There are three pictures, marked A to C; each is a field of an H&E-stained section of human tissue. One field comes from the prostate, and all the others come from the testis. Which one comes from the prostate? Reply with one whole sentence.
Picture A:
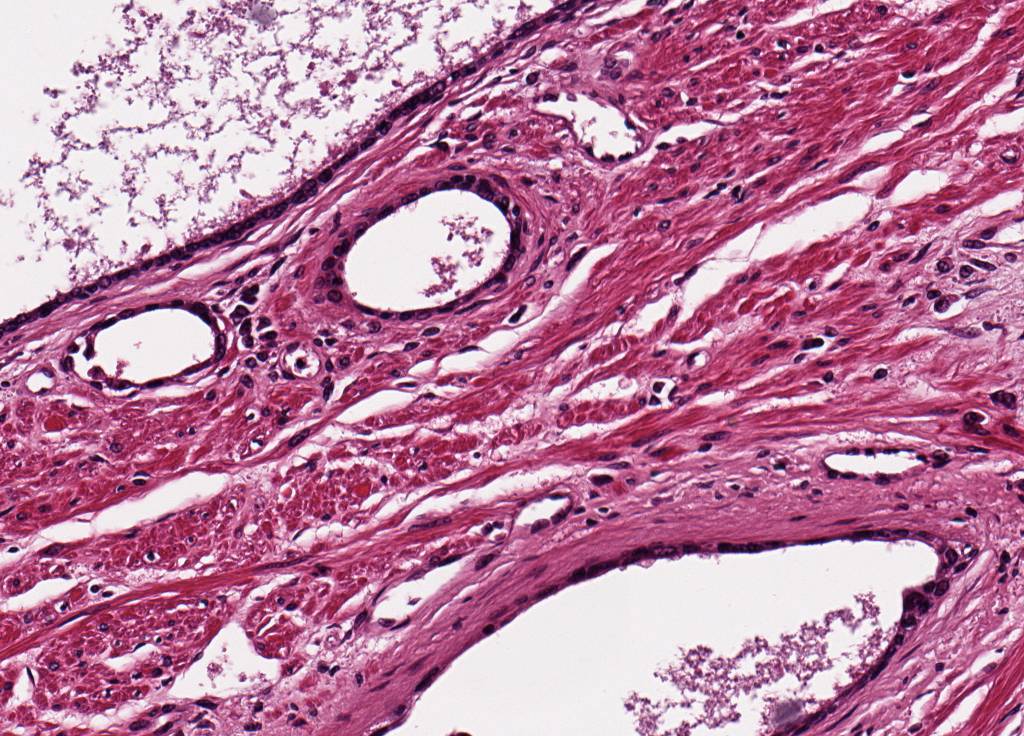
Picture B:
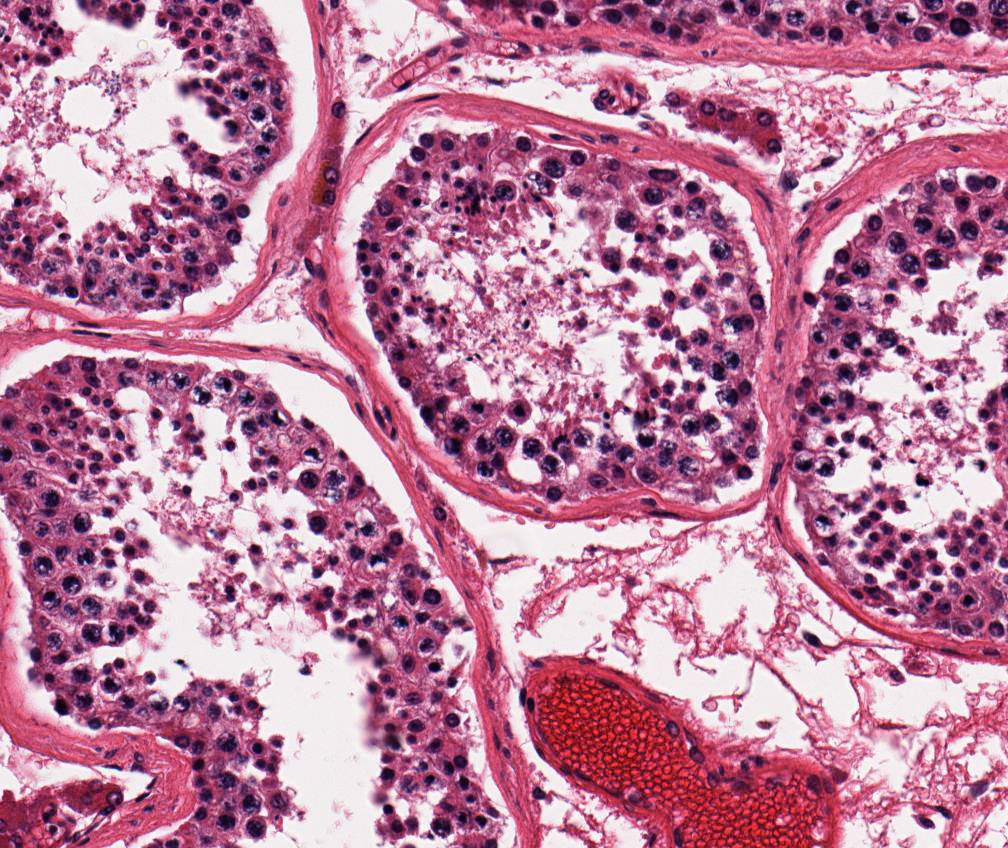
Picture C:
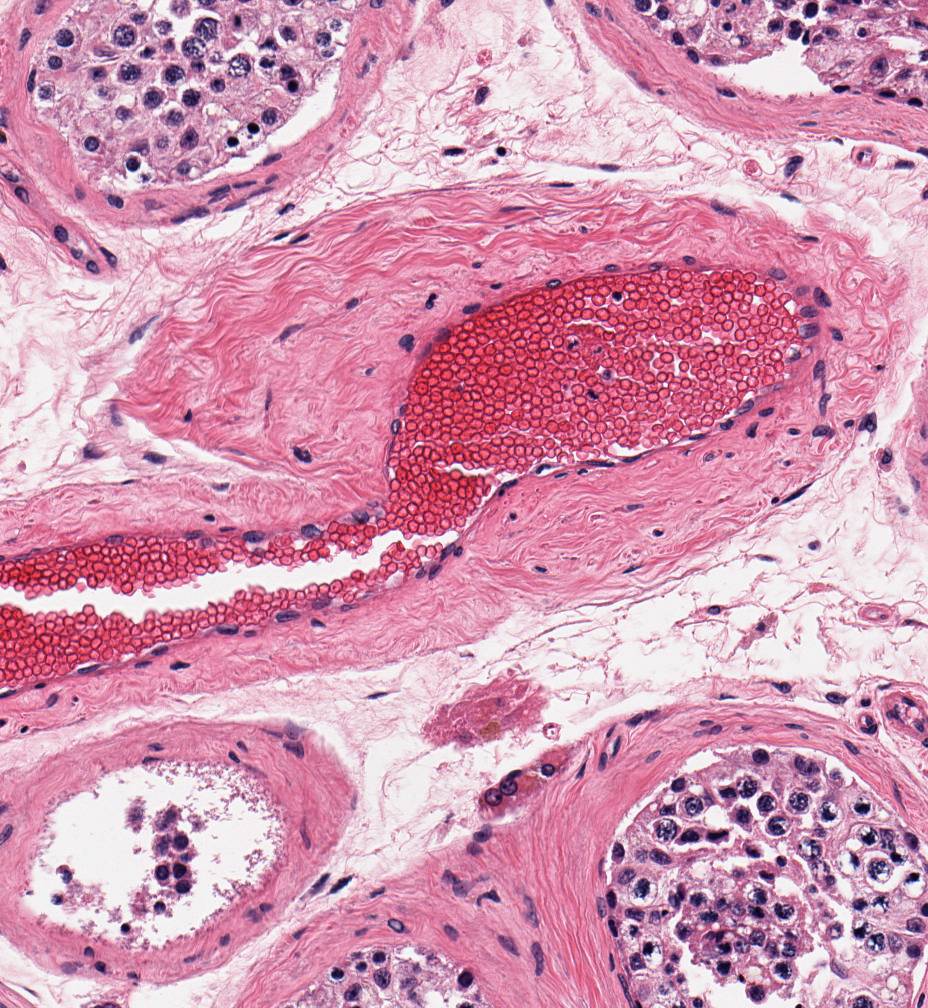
Picture A comes from the prostate.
